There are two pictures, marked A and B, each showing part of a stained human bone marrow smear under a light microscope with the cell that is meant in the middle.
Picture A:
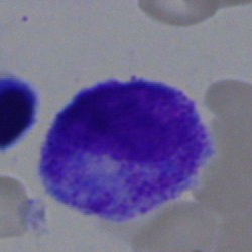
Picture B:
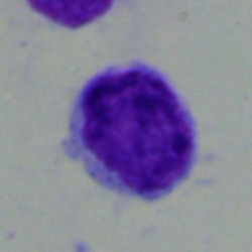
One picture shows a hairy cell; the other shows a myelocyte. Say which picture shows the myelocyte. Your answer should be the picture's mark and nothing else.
A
